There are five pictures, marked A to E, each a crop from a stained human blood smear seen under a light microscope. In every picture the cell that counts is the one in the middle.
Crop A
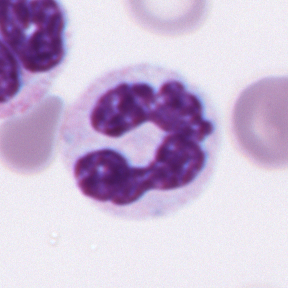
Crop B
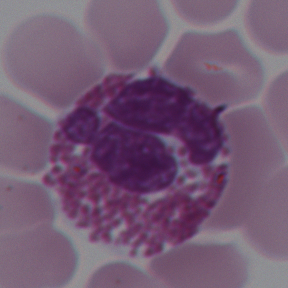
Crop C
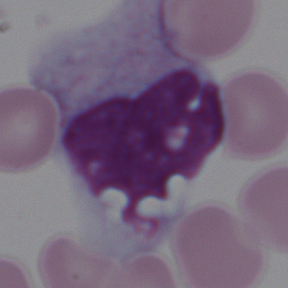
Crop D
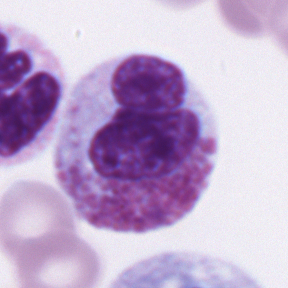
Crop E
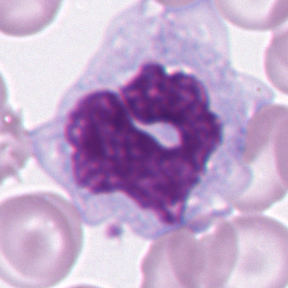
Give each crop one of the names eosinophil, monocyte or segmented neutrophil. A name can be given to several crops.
A: segmented neutrophil
B: eosinophil
C: monocyte
D: eosinophil
E: monocyte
